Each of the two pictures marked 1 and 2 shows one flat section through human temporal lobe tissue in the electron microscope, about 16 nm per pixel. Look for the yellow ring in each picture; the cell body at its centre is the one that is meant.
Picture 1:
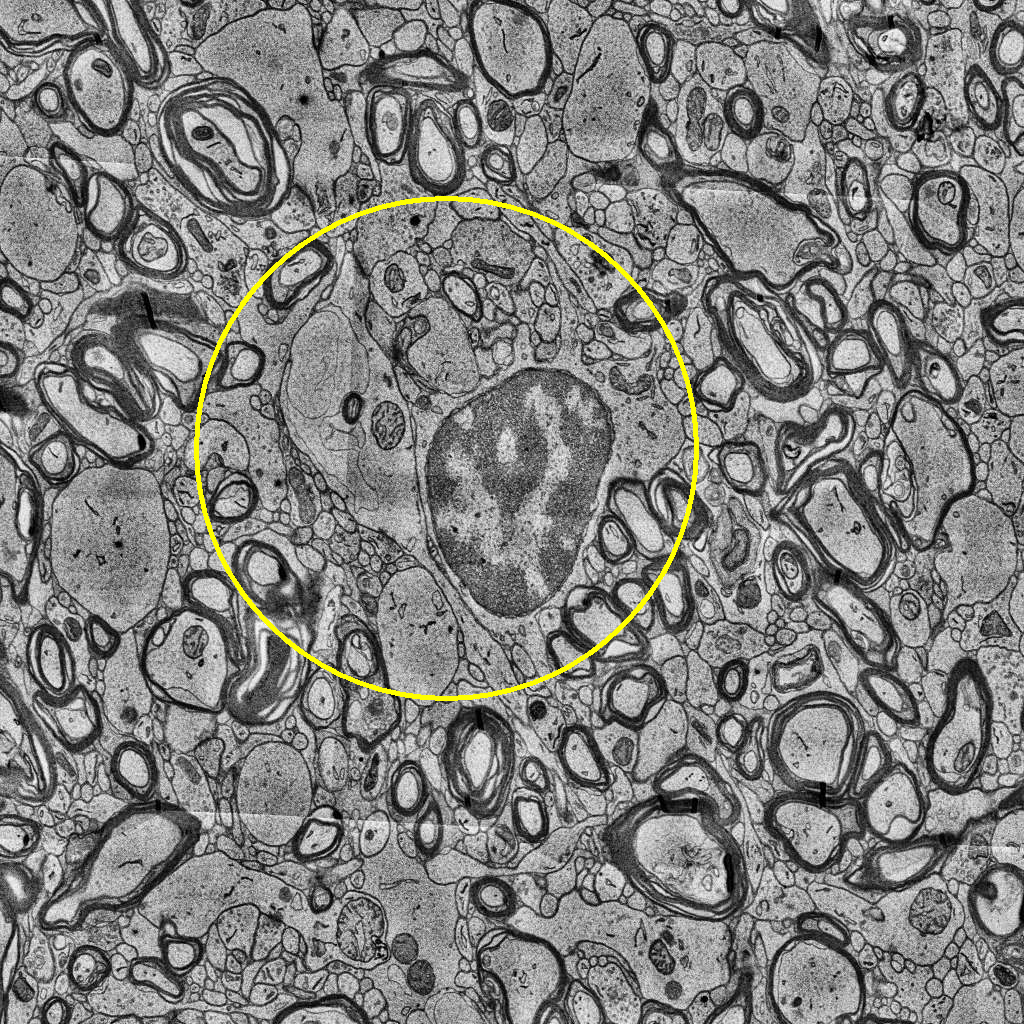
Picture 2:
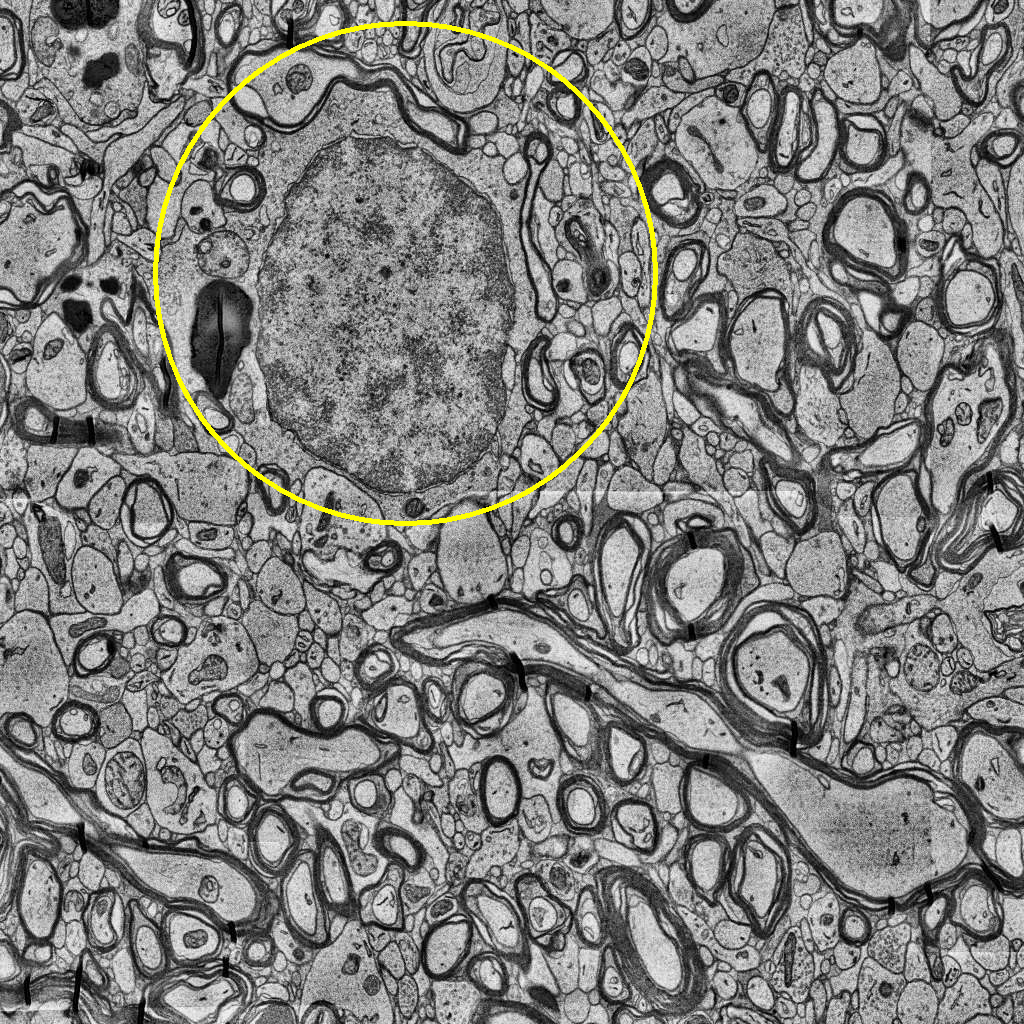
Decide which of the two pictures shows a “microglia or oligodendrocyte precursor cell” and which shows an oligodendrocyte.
In picture 1 the cell is a “microglia or oligodendrocyte precursor cell”; in picture 2, an oligodendrocyte.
